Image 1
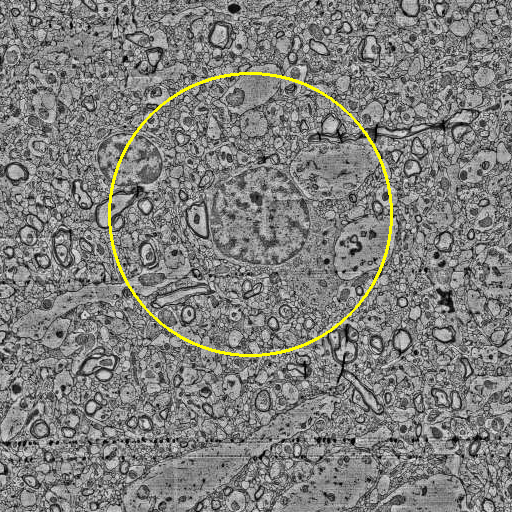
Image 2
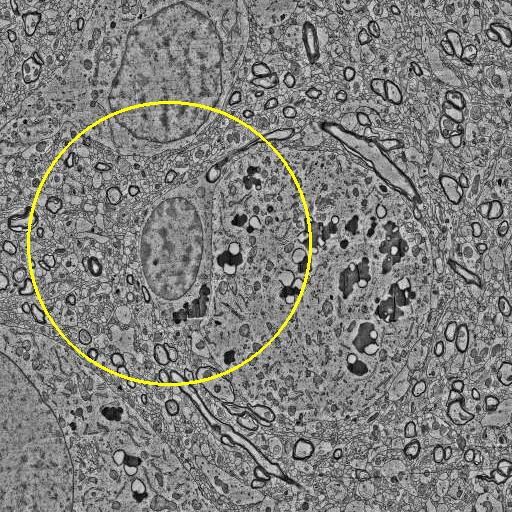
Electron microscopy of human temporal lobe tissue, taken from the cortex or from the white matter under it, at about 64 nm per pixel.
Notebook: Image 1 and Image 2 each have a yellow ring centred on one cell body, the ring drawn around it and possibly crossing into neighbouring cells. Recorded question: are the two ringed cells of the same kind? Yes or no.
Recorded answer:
yes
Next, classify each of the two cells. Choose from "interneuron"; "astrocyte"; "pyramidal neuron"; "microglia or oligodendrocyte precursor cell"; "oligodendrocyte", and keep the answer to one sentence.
The second cell is an oligodendrocyte, just as the first is.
